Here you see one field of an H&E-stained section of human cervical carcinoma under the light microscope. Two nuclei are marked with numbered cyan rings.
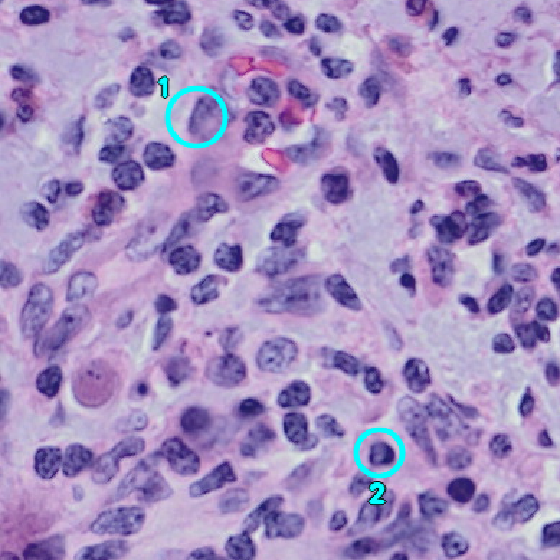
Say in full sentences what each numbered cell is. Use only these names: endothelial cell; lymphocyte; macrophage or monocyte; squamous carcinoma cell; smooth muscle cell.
Cell 1 is an endothelial cell and cell 2 is a lymphocyte.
